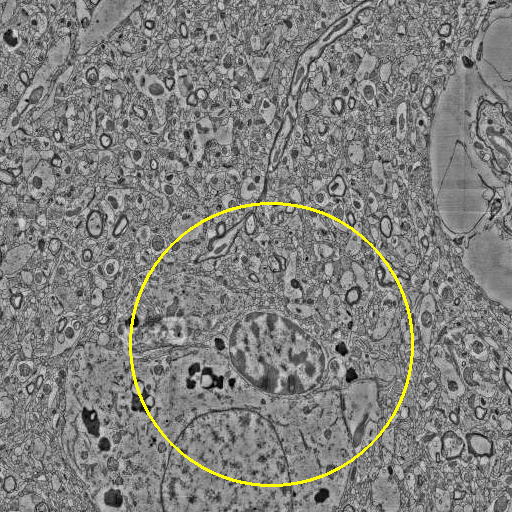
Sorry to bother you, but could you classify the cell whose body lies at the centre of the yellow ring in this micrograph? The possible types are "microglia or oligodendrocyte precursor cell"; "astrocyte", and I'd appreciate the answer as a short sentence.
The ringed cell body is that of a microglial cell or oligodendrocyte precursor cell.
